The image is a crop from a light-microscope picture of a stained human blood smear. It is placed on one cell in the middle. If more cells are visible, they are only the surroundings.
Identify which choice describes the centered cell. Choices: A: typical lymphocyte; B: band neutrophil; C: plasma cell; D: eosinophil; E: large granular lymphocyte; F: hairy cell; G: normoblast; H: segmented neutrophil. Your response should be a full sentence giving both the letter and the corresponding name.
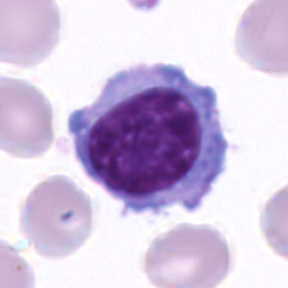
At the centre of the crop lies a plasma cell, which makes option C correct.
